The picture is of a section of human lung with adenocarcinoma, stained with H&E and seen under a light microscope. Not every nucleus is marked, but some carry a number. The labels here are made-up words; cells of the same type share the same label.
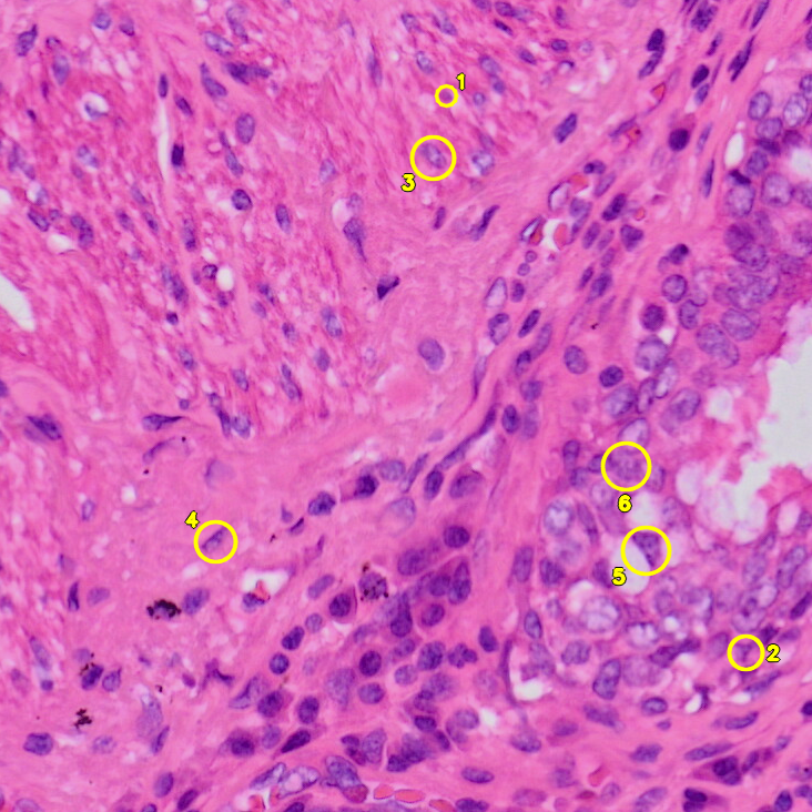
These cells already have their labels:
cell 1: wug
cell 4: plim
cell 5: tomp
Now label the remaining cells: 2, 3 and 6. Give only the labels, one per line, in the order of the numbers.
tomp
wug
tomp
